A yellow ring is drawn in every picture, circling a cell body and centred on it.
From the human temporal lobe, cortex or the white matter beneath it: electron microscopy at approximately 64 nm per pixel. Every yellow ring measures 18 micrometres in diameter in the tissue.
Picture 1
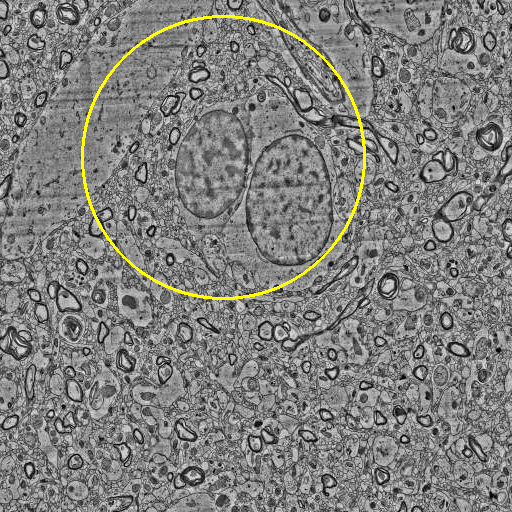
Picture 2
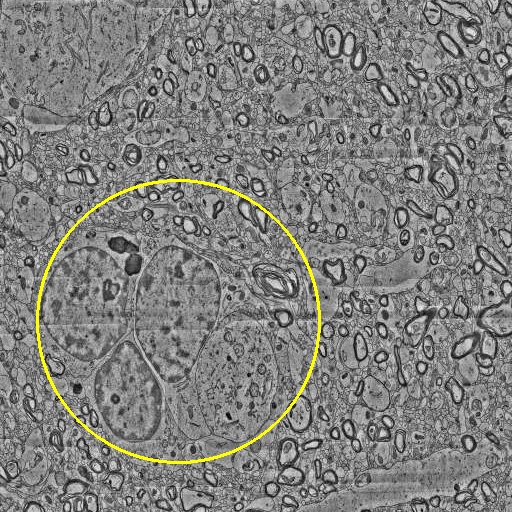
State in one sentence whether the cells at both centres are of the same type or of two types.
The cells at the two ring centres, one per picture, are of two types.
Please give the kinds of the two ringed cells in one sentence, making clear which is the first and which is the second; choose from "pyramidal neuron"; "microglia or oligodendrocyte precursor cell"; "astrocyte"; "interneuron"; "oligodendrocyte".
In the second picture the ringed cell is a microglial cell or oligodendrocyte precursor cell; in the first it is an oligodendrocyte.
